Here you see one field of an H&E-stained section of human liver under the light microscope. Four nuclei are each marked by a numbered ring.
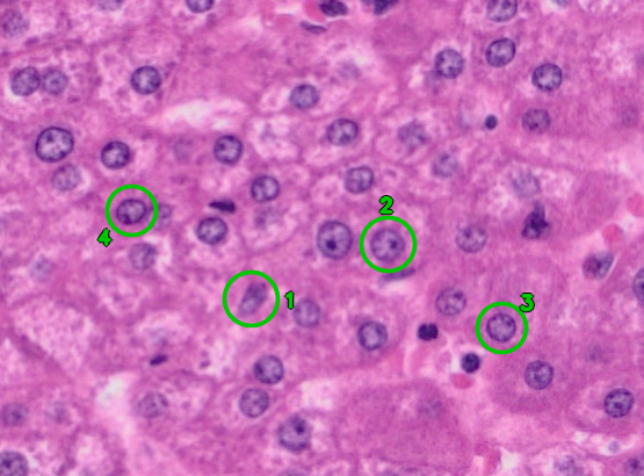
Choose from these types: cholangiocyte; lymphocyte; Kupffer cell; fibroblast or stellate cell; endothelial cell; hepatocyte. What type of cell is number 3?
hepatocyte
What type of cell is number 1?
Kupffer cell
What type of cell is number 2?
hepatocyte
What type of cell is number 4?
hepatocyte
